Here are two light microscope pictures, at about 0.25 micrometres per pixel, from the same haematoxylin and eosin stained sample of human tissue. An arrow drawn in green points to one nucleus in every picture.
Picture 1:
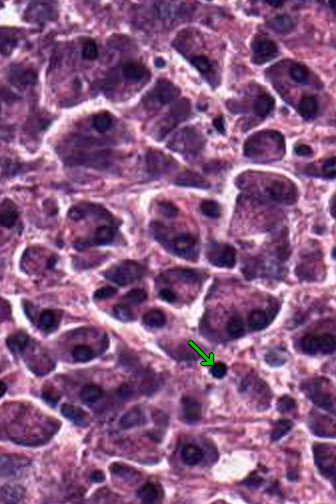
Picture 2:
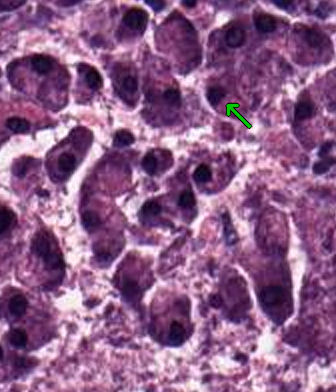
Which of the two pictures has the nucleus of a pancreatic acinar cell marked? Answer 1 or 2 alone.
2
